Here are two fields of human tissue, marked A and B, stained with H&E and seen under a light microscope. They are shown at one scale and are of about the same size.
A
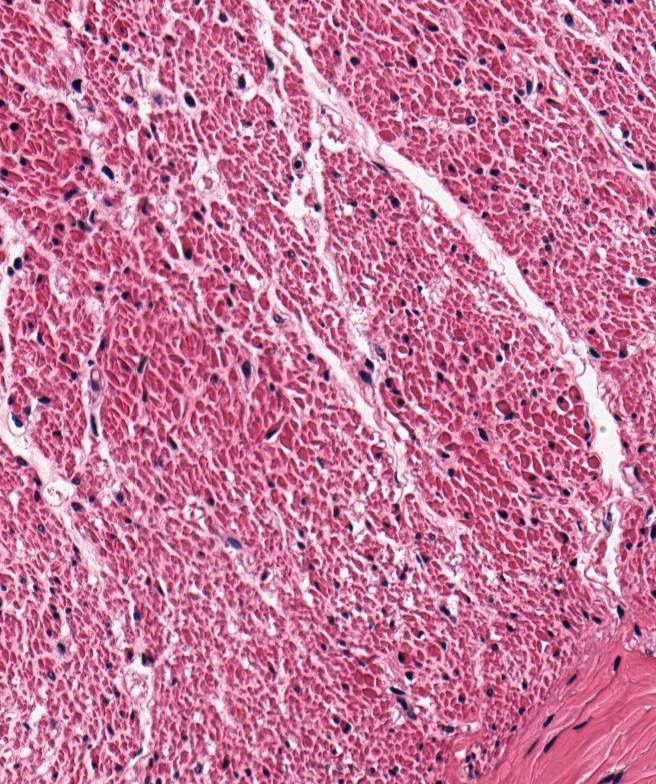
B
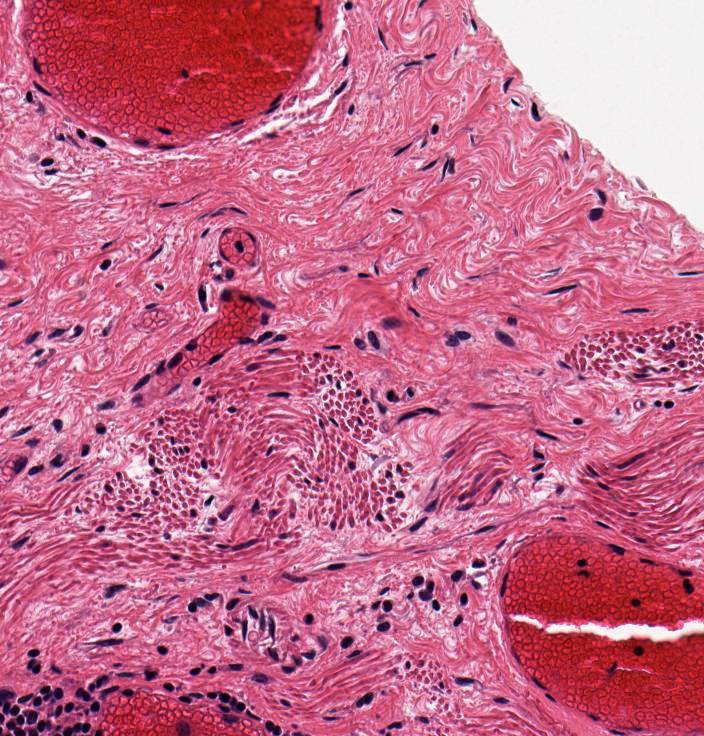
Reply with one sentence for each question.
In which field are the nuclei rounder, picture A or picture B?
On the whole the nuclei of picture A are rounder than those of picture B.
